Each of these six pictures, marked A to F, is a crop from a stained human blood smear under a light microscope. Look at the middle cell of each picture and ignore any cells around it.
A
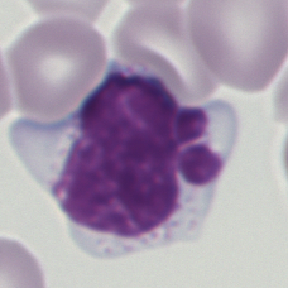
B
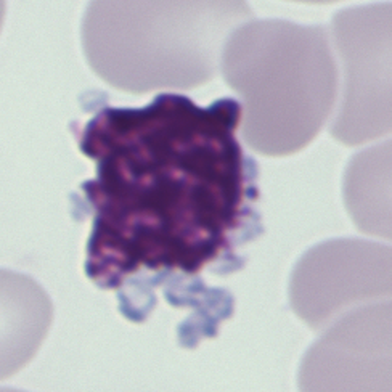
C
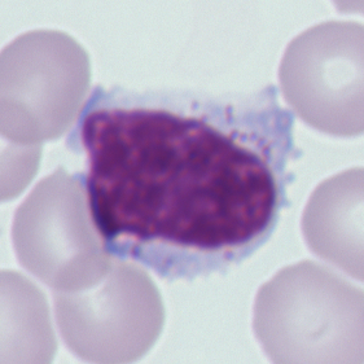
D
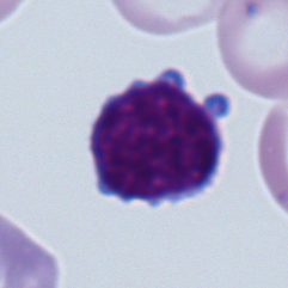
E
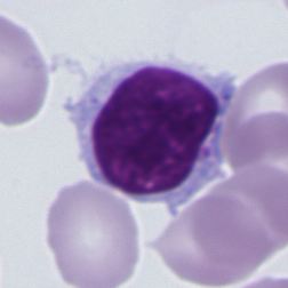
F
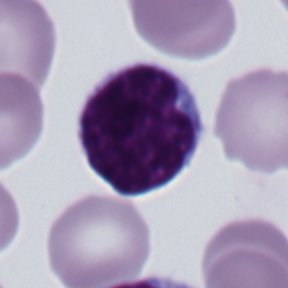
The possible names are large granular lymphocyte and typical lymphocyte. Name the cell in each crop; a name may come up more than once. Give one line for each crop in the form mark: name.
A: large granular lymphocyte
B: typical lymphocyte
C: large granular lymphocyte
D: typical lymphocyte
E: typical lymphocyte
F: typical lymphocyte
